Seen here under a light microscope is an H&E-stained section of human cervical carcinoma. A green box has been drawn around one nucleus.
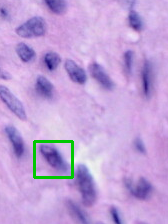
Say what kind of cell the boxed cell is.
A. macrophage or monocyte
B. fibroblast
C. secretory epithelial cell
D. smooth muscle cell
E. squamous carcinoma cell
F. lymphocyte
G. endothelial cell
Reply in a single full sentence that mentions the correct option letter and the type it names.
Option B stands as correct, with the boxed cell being a fibroblast.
